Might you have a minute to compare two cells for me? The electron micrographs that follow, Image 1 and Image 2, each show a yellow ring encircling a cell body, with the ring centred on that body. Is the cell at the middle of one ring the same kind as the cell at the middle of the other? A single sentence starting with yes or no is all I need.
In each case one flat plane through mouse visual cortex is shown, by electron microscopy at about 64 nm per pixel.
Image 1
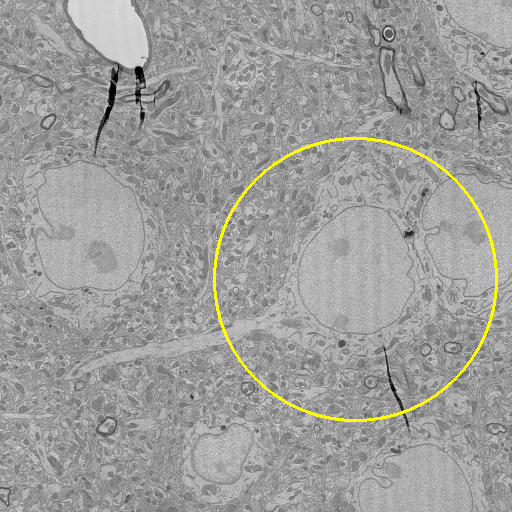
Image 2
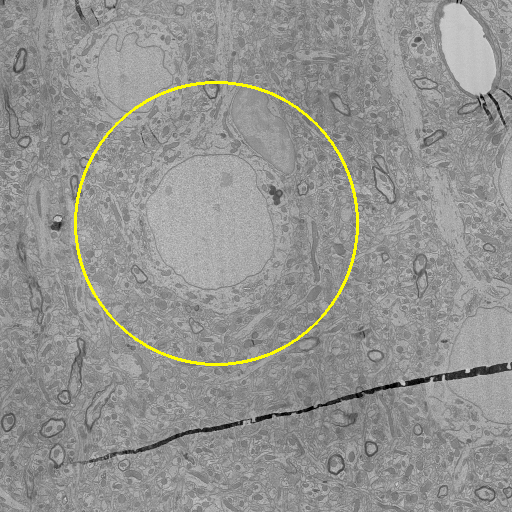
Yes, the cells in the middle of the two rings are of one shared kind.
